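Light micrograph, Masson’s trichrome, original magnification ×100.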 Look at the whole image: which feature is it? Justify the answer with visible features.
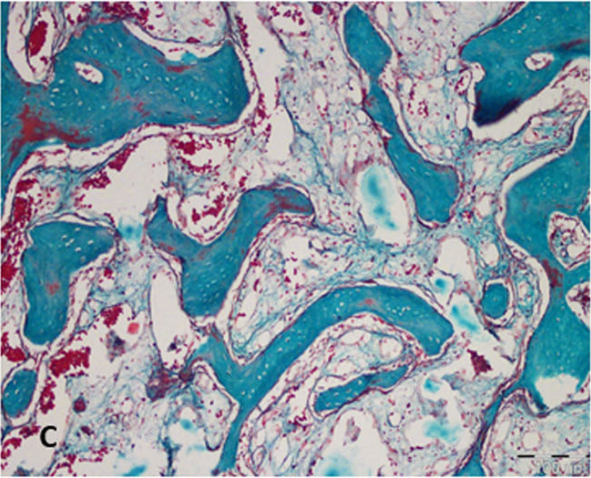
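Branching bands of blue-green stained matrix with small lacunae run across the field. Spaces between the bands hold loose tissue and red-stained blood cells. The answer: bone trabeculae.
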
